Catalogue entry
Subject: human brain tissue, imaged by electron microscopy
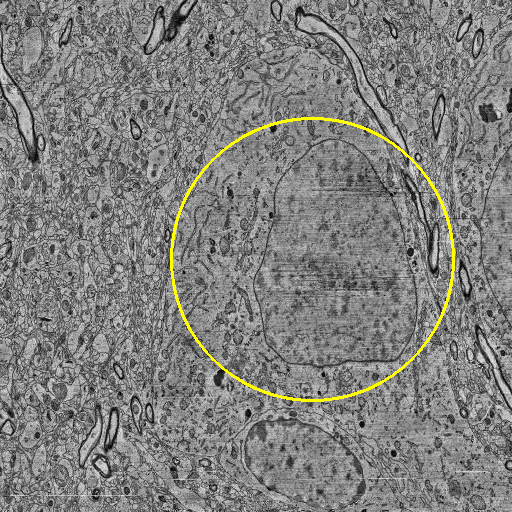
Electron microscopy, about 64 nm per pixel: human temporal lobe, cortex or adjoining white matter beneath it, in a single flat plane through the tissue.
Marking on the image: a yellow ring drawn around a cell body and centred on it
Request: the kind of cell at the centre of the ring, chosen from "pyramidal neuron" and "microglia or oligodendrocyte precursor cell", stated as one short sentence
The ring has a pyramidal neuron at its centre.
